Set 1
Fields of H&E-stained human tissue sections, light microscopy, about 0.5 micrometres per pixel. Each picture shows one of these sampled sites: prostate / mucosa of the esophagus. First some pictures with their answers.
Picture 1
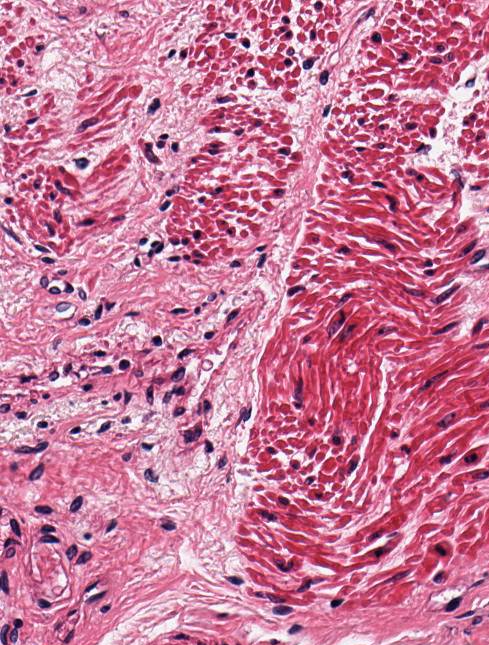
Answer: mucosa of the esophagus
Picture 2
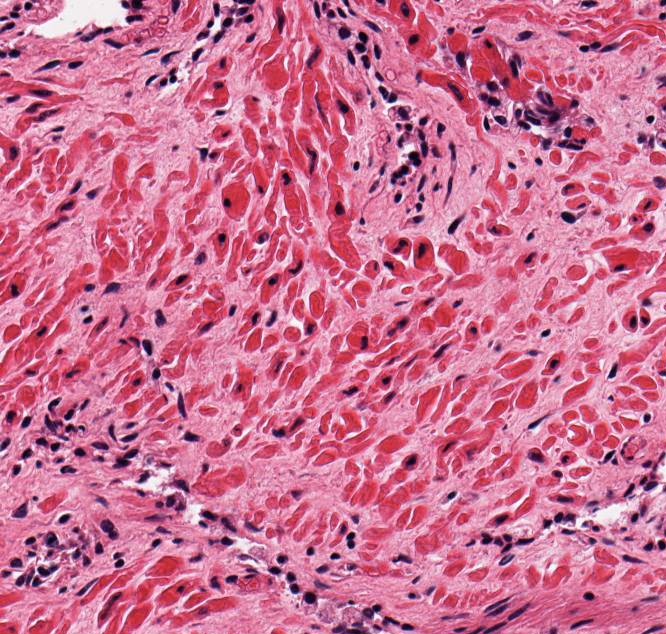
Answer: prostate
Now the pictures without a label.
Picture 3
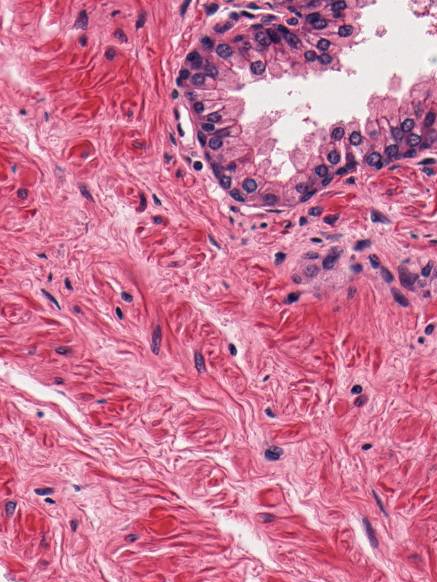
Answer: prostate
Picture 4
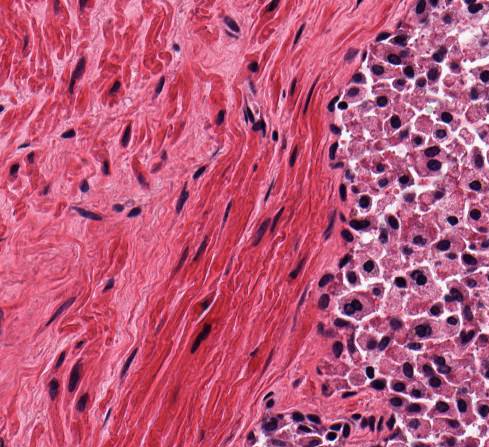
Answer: prostate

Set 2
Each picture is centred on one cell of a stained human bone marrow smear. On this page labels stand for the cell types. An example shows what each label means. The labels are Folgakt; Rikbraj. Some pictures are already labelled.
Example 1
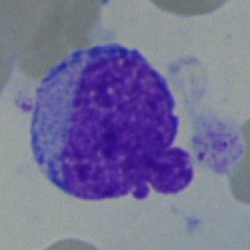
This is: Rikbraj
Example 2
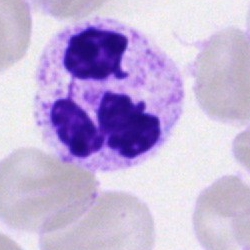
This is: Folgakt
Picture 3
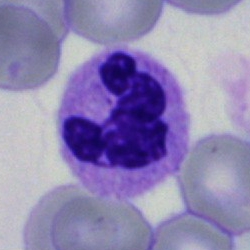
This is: Folgakt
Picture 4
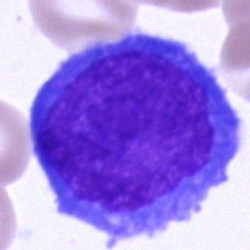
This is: Rikbraj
